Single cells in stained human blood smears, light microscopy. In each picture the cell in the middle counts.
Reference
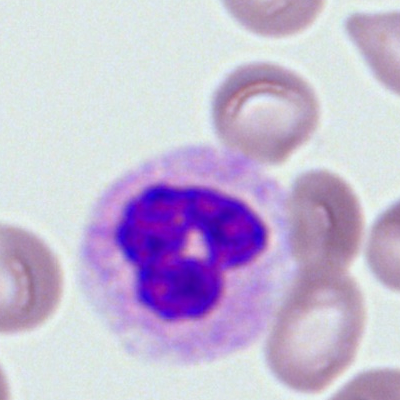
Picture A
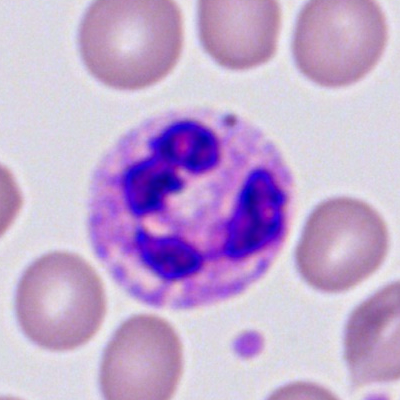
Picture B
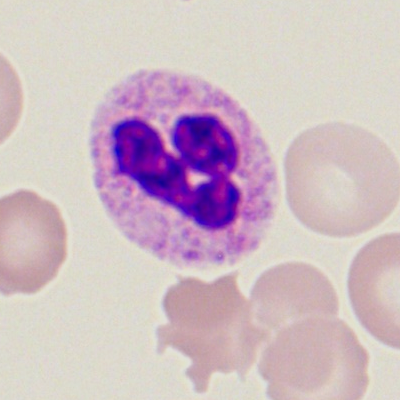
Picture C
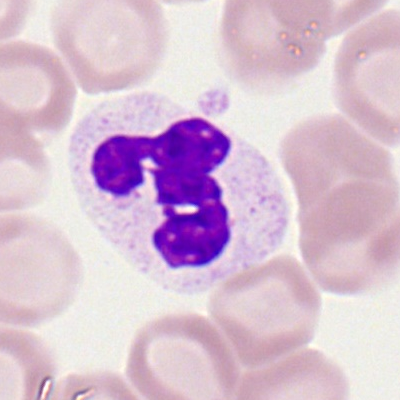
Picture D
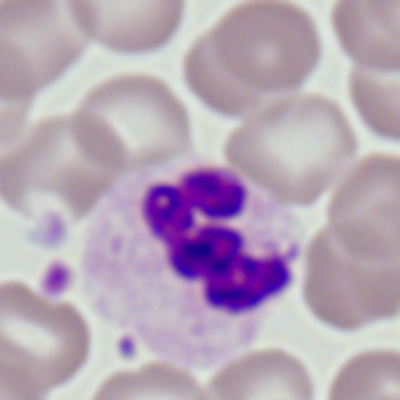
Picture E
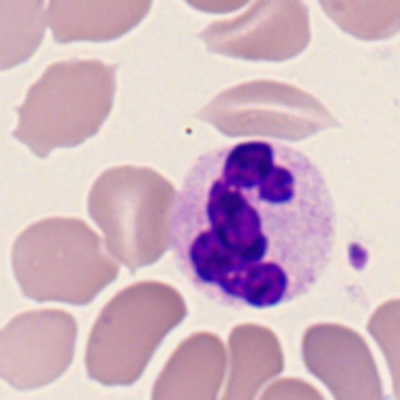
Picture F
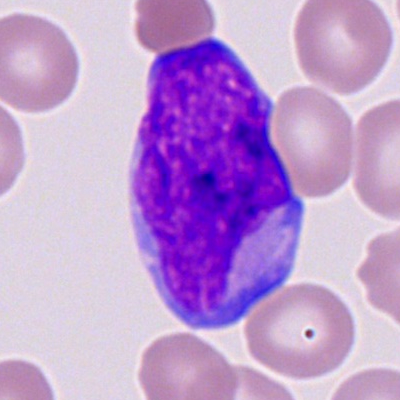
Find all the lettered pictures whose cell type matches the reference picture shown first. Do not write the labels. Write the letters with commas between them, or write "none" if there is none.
A, B, C, D, E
